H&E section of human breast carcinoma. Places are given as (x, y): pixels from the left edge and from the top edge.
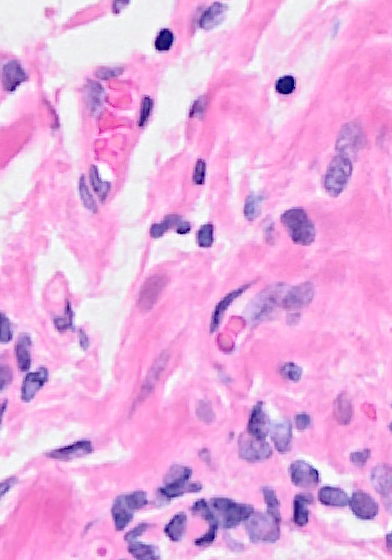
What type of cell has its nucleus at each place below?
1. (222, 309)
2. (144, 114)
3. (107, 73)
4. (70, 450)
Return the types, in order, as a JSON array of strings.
["endothelial cell", "endothelial cell", "endothelial cell", "fibroblast"]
